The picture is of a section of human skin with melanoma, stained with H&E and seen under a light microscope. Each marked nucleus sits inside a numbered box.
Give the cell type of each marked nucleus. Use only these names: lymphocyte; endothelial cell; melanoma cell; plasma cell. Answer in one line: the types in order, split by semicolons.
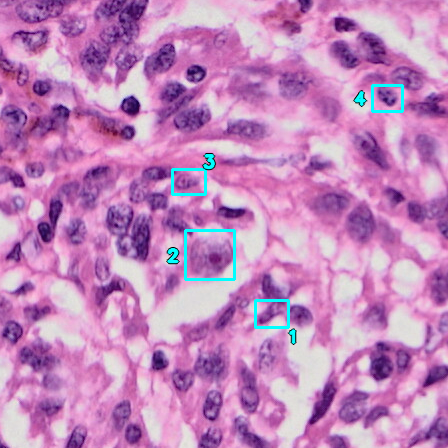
melanoma cell; melanoma cell; melanoma cell; lymphocyte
